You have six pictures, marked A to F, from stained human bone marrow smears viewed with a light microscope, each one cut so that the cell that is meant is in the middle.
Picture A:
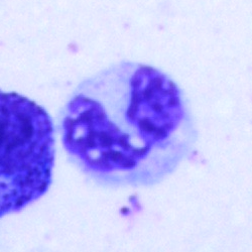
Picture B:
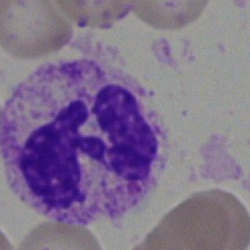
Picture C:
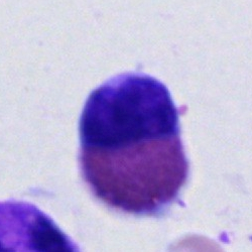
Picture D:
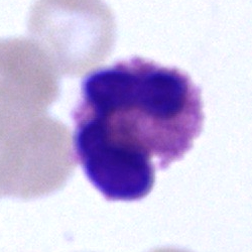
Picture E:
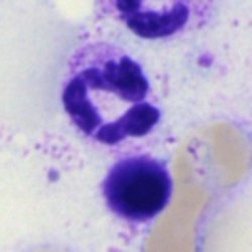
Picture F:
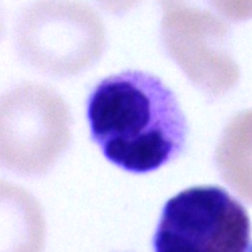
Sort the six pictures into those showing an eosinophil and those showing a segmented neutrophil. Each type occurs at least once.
A: segmented neutrophil
B: segmented neutrophil
C: eosinophil
D: eosinophil
E: segmented neutrophil
F: segmented neutrophil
